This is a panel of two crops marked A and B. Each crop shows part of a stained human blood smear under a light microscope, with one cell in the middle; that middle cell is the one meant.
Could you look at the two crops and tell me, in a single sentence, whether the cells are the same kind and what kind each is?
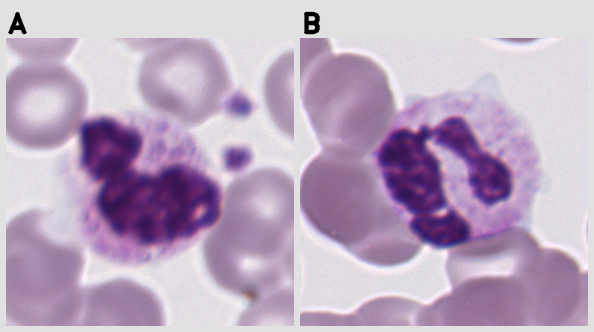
Yes, the central cells, in both crops, are segmented neutrophils.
